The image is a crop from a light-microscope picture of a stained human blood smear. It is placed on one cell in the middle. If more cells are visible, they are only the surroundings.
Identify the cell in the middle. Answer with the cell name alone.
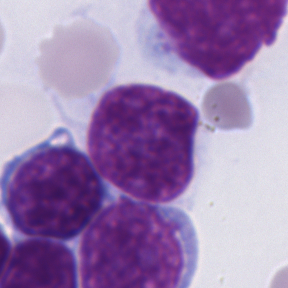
myeloblast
